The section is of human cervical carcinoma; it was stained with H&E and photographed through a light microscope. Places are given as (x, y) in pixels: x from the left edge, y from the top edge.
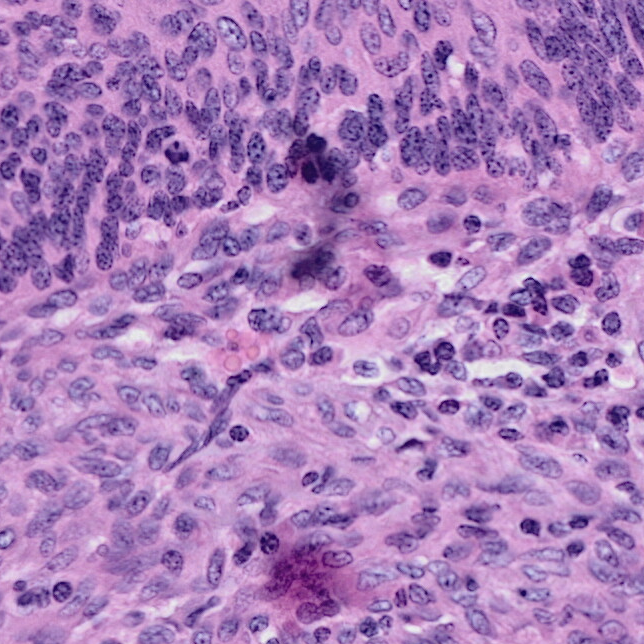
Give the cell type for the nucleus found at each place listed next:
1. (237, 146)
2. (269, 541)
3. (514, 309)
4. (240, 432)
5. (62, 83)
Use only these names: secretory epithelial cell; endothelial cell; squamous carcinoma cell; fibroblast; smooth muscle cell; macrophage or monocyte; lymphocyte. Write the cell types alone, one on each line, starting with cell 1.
squamous carcinoma cell
lymphocyte
lymphocyte
lymphocyte
squamous carcinoma cell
